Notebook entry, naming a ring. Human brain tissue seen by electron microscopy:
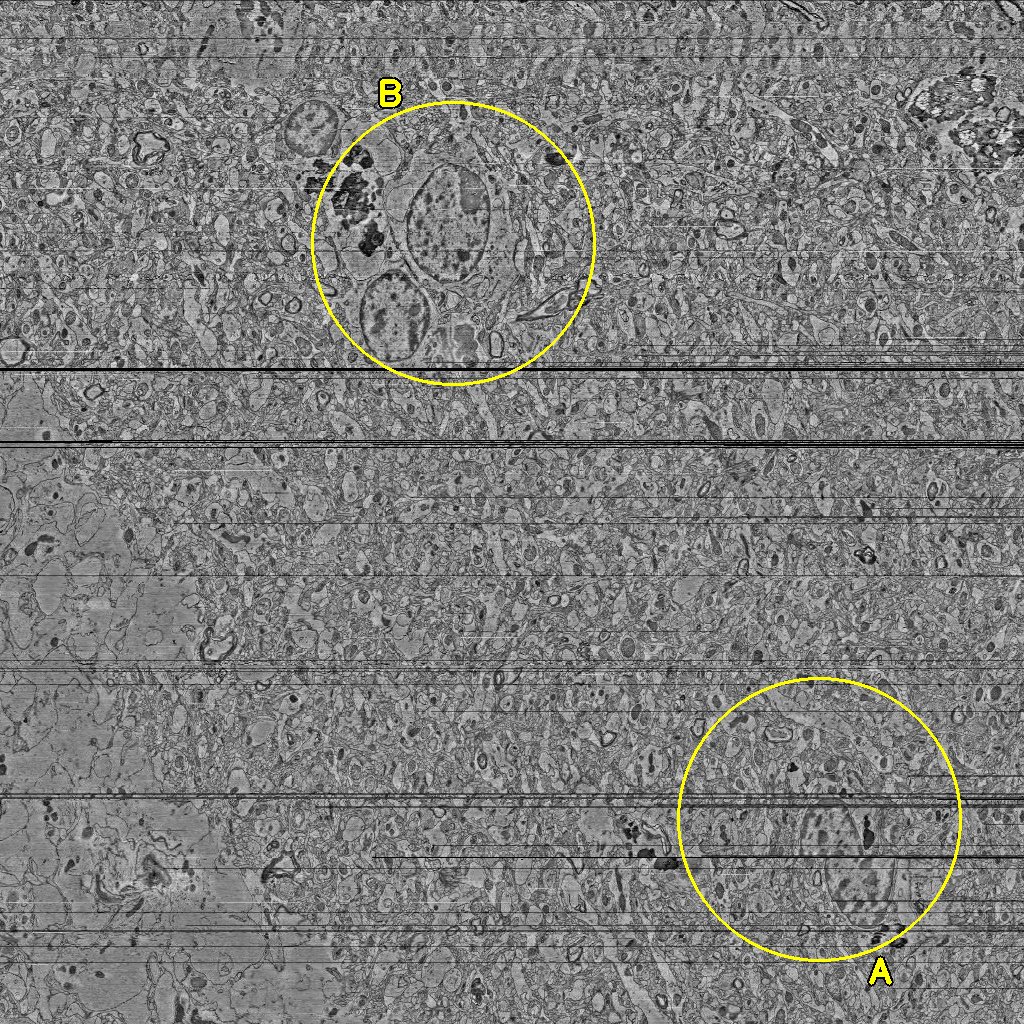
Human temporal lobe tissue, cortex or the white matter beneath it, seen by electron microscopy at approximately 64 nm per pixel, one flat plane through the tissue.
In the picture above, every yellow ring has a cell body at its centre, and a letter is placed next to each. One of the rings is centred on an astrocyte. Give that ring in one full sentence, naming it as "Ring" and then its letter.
Ring B is the ring whose centre holds the cell asked for.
